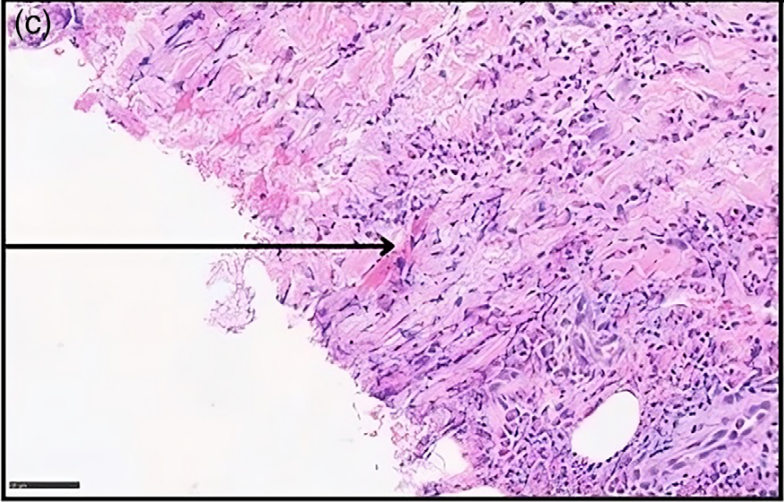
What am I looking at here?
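The dermis is crowded with inflammatory cells, many with dark, lobed or irregular nuclei, lying among pale pink, frayed collagen bundles. Near the centre a small bright pink, amorphous deposit with a flame-like outline sits within the collagen, with cells clustered around it. Toward the right the infiltrate is denser, with cells packed between the fibres, while toward the left edge the collagen is looser and less cellular.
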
